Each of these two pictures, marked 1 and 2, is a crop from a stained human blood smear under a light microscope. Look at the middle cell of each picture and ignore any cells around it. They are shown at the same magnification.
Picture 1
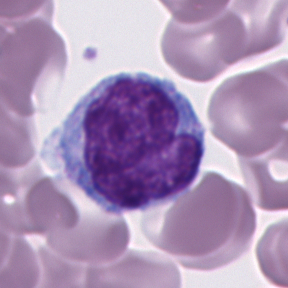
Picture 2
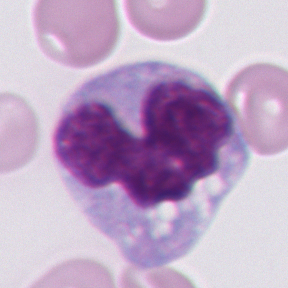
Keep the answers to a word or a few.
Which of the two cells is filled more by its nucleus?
1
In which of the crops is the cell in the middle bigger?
2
